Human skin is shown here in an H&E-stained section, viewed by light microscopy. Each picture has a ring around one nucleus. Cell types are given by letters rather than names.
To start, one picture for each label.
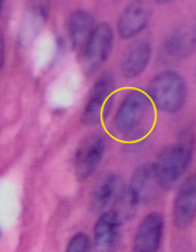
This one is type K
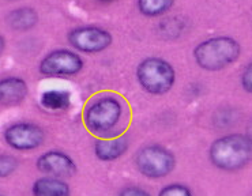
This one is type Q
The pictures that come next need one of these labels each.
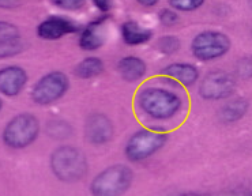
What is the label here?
type Q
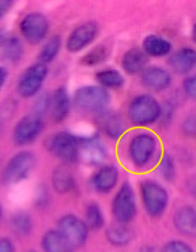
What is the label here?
type K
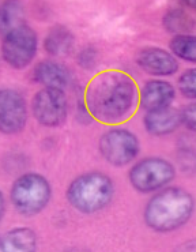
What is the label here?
type K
